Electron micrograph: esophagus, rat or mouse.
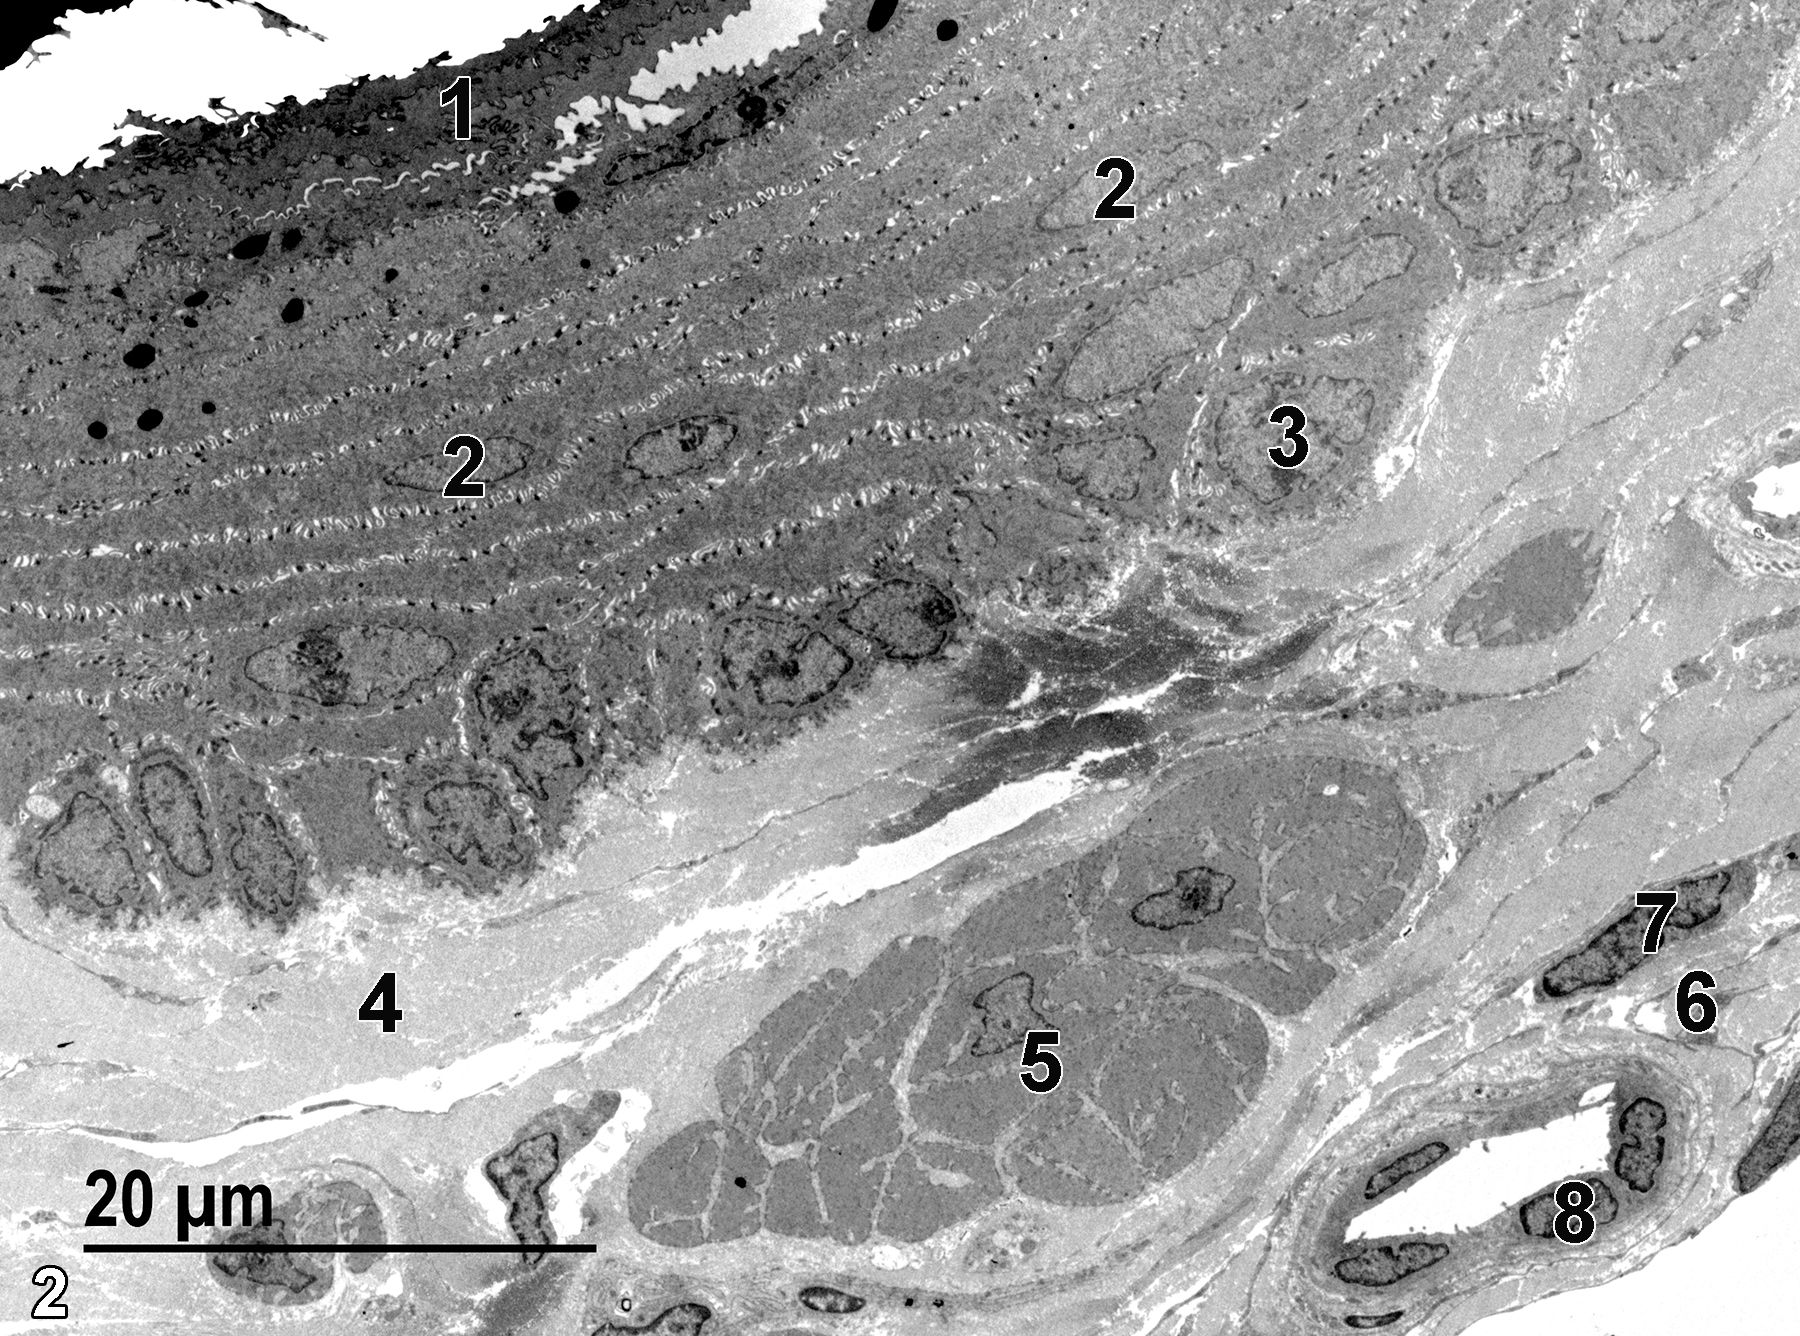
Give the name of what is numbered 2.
The number 2 marks the nuclei of squamous epithelial cells.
